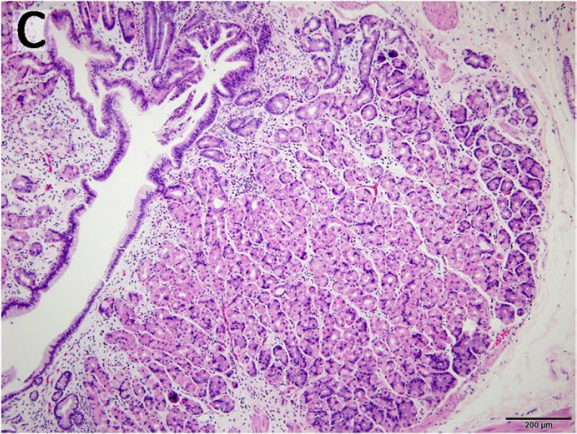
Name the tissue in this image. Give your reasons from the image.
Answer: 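Oxyntic (body/fundal) type gastric mucosa. Densely packed small round glands fill most of the field. Gland cells have granular pink to purple cytoplasm. A surface lined by tall columnar mucinous epithelium with pits lies at the upper left.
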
